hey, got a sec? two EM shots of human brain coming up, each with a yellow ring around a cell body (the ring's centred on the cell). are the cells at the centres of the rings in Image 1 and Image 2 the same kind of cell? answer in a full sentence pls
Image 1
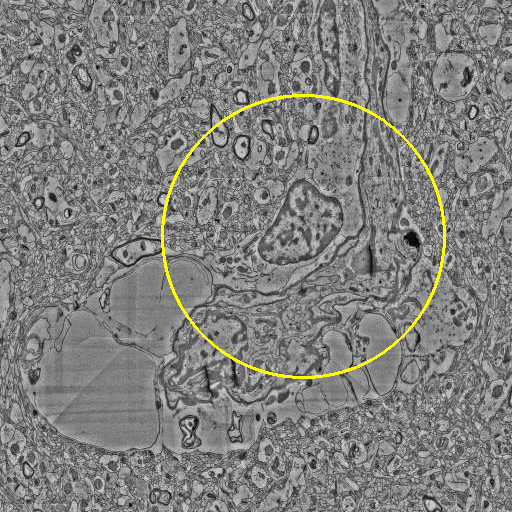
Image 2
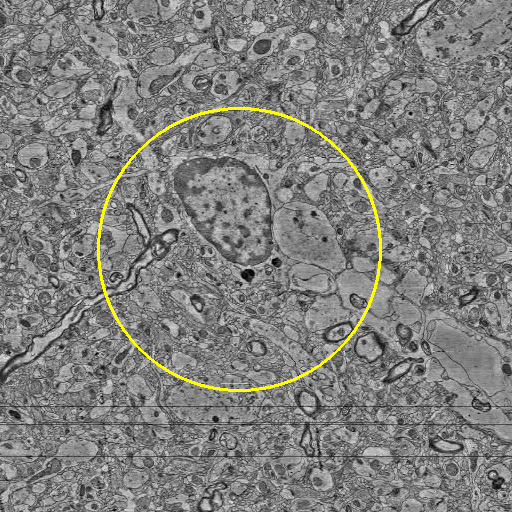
Yes, both are the same kind of cell.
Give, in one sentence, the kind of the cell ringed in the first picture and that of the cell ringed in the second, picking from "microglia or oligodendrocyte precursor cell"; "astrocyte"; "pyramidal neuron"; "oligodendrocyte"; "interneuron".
Both cells are the same kind, each one being a microglial cell or oligodendrocyte precursor cell.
